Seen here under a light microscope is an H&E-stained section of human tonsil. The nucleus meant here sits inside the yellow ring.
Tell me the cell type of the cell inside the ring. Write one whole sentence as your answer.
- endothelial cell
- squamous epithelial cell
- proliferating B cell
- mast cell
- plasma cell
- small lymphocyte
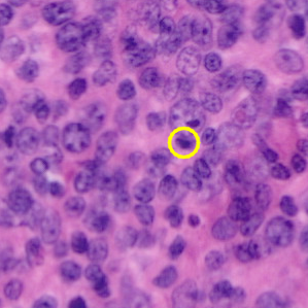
This is a proliferating B cell.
